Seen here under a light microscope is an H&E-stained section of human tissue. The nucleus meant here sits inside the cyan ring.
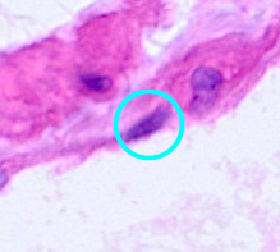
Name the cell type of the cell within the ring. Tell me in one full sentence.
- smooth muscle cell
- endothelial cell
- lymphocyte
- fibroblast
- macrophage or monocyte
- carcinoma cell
Among the cells in this section, the cell within the ring is an endothelial cell.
